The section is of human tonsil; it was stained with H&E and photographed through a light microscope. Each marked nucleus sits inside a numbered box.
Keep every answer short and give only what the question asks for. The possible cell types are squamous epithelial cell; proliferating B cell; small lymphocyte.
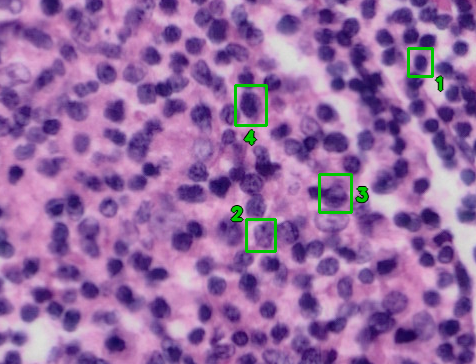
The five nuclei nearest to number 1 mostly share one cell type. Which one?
small lymphocyte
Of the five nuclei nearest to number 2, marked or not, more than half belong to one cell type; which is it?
proliferating B cell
